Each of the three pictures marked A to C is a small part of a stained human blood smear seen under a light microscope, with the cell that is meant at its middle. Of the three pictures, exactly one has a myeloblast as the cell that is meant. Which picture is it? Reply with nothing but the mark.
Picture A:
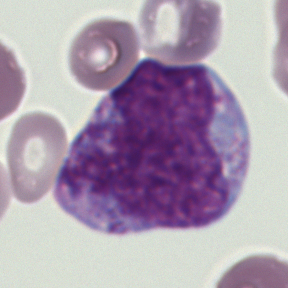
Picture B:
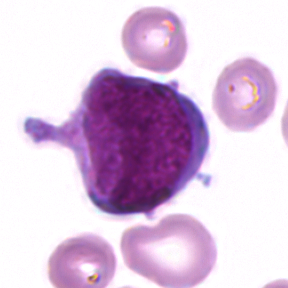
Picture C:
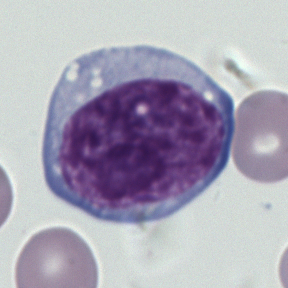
C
